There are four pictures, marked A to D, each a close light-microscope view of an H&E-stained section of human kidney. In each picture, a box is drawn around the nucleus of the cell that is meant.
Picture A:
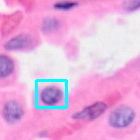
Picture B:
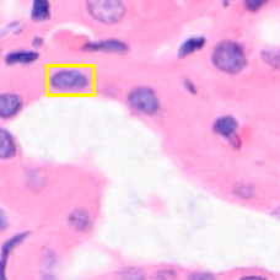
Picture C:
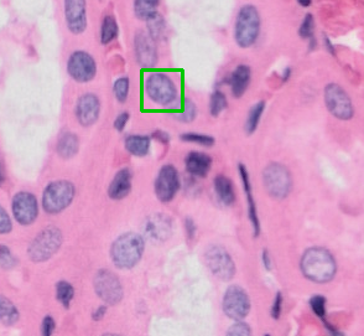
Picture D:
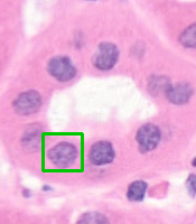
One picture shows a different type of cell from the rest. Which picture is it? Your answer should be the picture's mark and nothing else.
C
